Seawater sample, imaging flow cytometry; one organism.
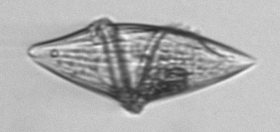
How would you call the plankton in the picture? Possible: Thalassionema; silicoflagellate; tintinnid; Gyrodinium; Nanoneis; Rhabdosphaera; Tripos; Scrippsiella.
I would call it Gyrodinium.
